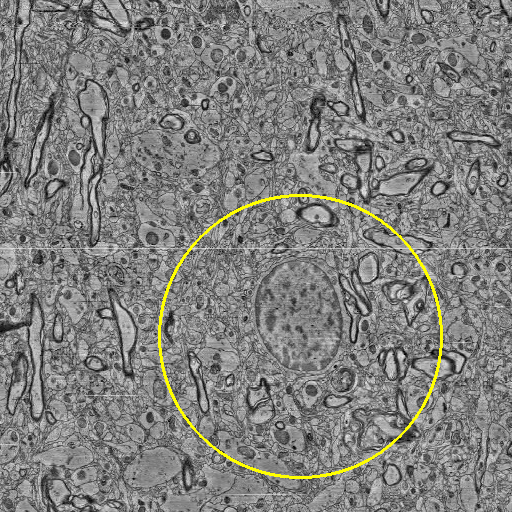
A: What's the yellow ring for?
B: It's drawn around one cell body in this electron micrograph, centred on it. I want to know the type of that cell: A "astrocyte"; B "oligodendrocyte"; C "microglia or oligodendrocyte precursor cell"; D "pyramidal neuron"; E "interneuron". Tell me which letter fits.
B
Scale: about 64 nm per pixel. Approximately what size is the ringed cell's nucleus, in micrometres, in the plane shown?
About 7 by 6 micrometers for the nucleus, in this plane.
